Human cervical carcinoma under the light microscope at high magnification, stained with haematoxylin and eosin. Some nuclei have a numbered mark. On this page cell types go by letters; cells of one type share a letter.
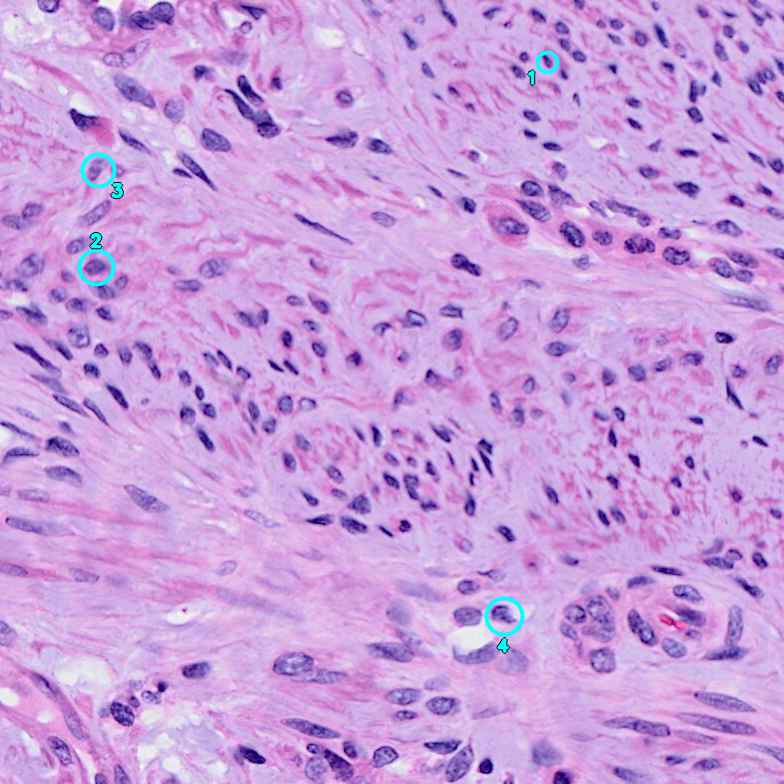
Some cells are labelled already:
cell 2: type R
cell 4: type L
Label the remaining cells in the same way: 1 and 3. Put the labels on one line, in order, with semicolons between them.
type R; type R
